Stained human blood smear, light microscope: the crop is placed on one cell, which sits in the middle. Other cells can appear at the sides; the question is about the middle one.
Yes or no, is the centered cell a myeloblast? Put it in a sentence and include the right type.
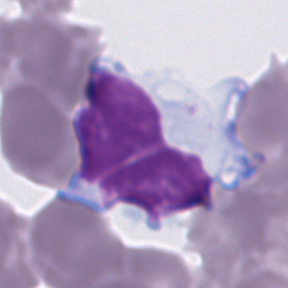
No, the central cell here is a typical lymphocyte; calling it a myeloblast is not right.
